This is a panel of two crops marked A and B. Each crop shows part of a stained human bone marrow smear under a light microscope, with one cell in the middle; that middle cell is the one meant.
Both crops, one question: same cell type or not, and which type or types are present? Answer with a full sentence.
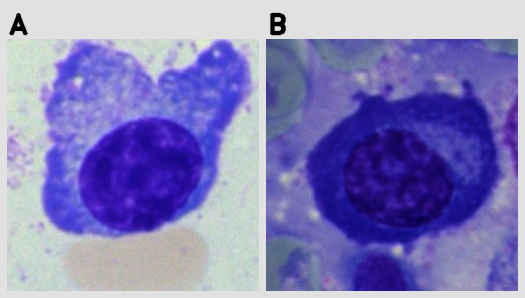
Yes, both crops, not just one, show plasma cells.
